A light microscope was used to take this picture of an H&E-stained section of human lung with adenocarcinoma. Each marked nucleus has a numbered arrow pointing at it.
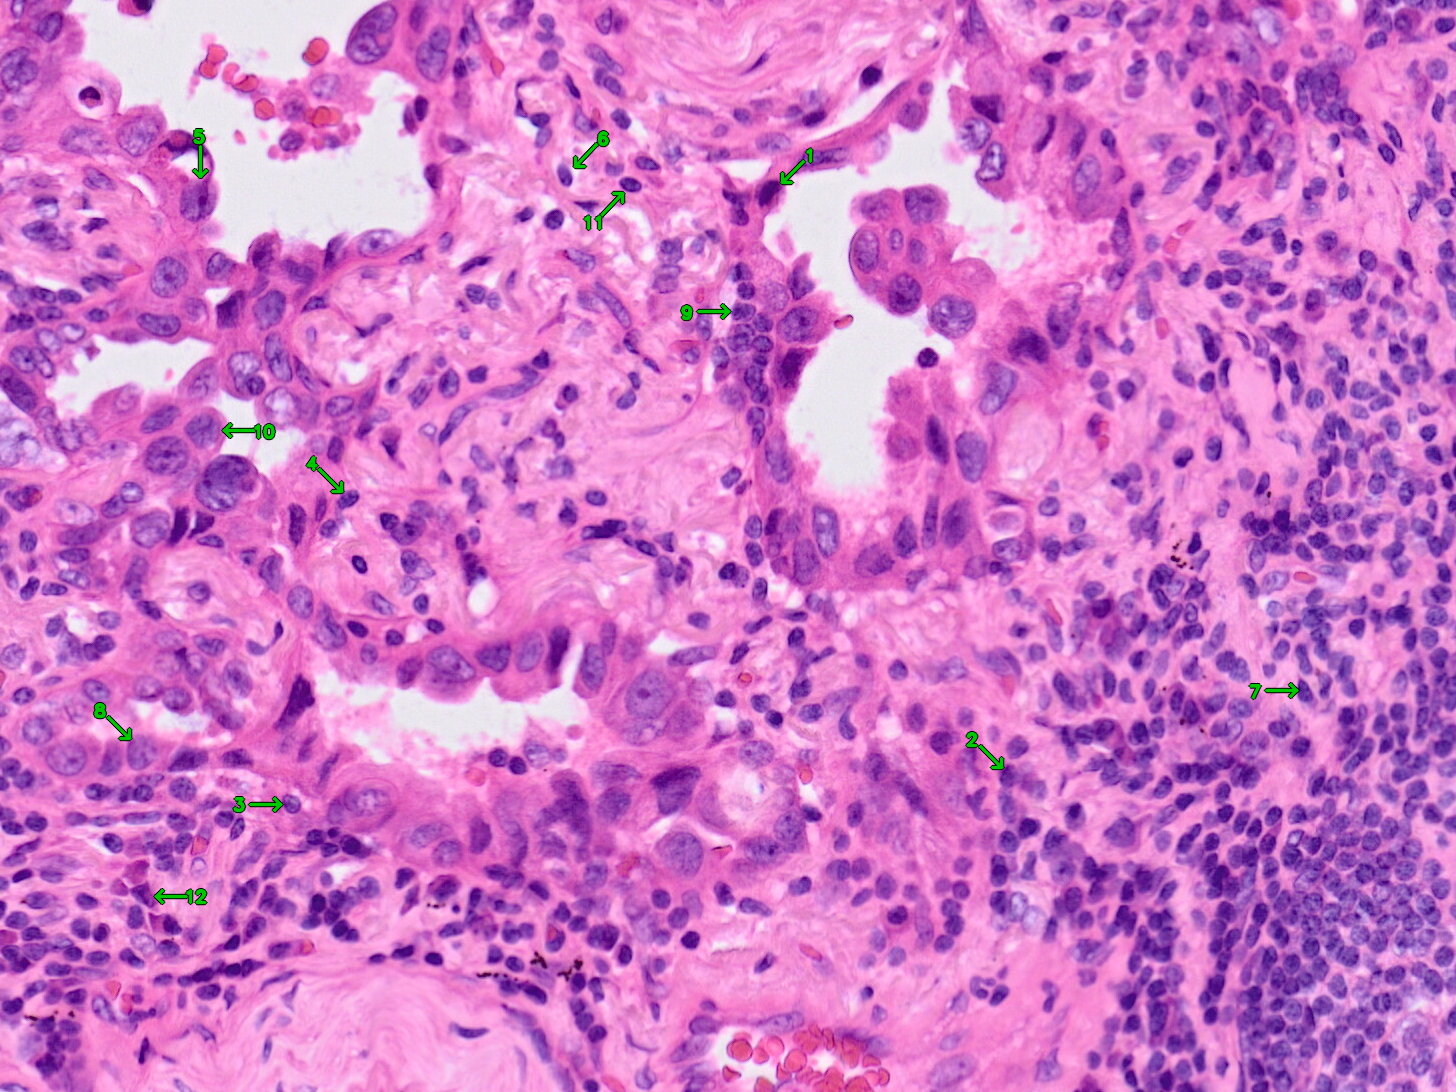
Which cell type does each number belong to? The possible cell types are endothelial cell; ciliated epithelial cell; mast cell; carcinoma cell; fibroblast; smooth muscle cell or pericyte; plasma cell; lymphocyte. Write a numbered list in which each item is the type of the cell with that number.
1. carcinoma cell
2. lymphocyte
3. lymphocyte
4. lymphocyte
5. carcinoma cell
6. lymphocyte
7. lymphocyte
8. carcinoma cell
9. lymphocyte
10. carcinoma cell
11. lymphocyte
12. plasma cell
